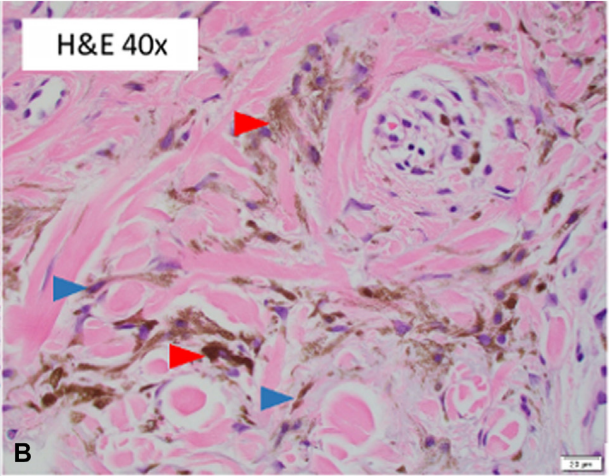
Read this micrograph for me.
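Dermis of a pigmented skin lesion with two kinds of cells lying among thick pink collagen bundles. Slender spindled-to-dendritic melanocytes with elongated dark nuclei and thin processes weave between the bundles. Interspersed are plumper melanophages whose cytoplasm is packed with coarse dark brown pigment granules that obscure the nucleus. A small vessel or nerve in cross section sits among them. No epidermis is in the field.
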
